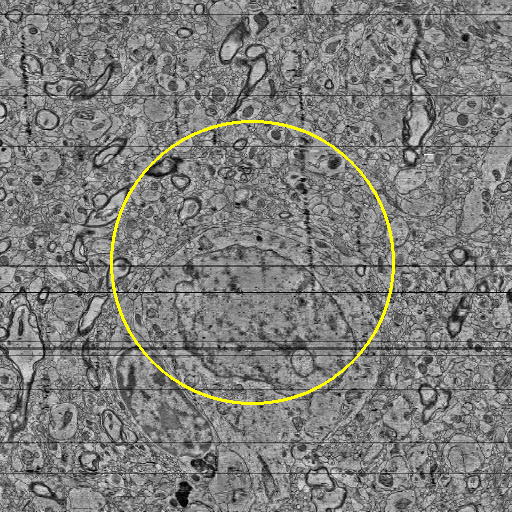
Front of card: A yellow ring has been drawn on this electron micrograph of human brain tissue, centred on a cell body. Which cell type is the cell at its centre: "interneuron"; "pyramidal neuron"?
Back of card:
pyramidal neuron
